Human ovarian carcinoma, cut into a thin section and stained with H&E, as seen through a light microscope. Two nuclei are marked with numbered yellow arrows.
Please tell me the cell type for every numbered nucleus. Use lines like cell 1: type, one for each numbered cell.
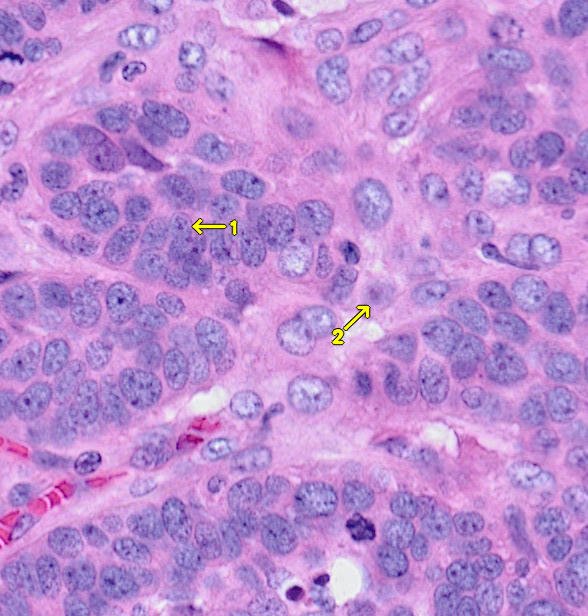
cell 1: carcinoma cell
cell 2: fibroblast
